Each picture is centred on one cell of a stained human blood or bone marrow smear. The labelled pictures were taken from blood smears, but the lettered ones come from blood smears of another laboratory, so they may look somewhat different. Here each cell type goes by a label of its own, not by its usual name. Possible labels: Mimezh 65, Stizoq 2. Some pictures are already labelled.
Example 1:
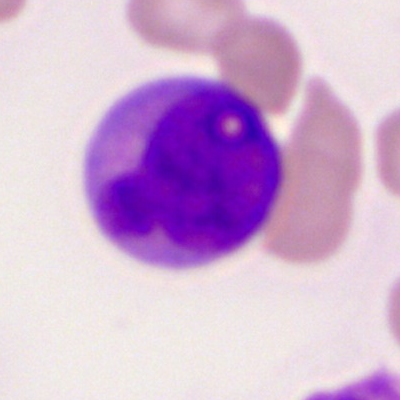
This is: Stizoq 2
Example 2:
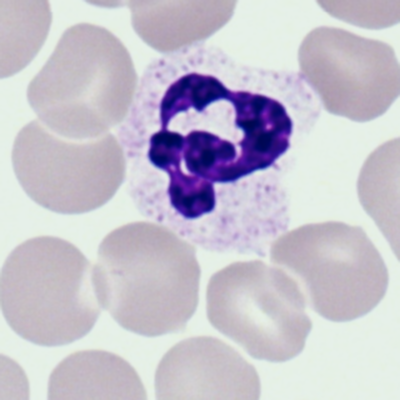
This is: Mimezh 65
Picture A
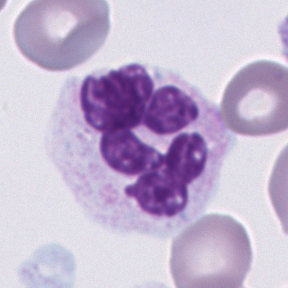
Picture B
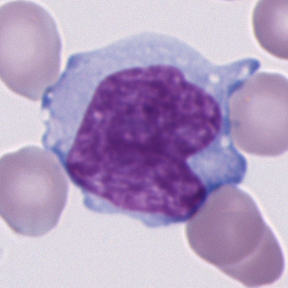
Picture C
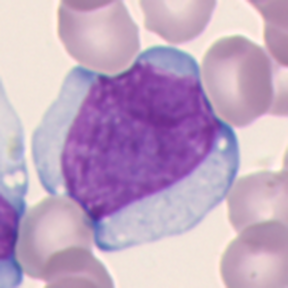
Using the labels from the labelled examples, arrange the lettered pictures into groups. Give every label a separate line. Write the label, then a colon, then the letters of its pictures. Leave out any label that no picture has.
Mimezh 65: A
Stizoq 2: B, C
